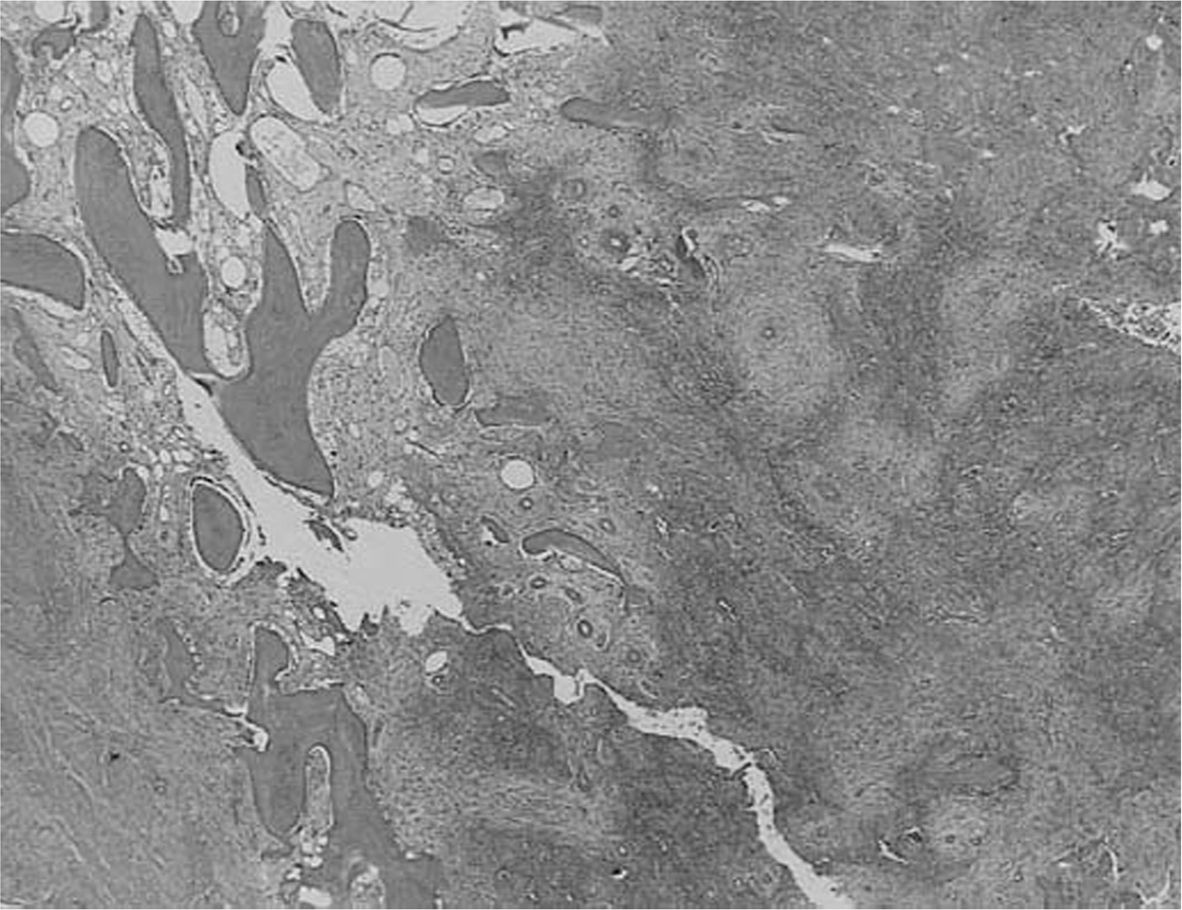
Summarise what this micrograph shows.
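In the upper left, elongated and branching homogeneous dark bands lie in a looser, paler stroma. That stroma holds many small round clear spaces and vessels. Toward the right, the section is taken up by dense, evenly cellular tissue in vague swirls, with a narrow cleft running diagonally across the lower middle.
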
